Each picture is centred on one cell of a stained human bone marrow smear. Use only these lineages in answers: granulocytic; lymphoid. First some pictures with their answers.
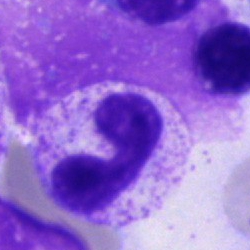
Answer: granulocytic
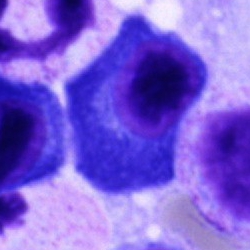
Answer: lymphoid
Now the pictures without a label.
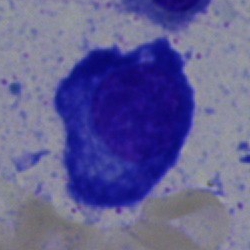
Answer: lymphoid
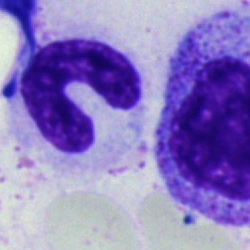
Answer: granulocytic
